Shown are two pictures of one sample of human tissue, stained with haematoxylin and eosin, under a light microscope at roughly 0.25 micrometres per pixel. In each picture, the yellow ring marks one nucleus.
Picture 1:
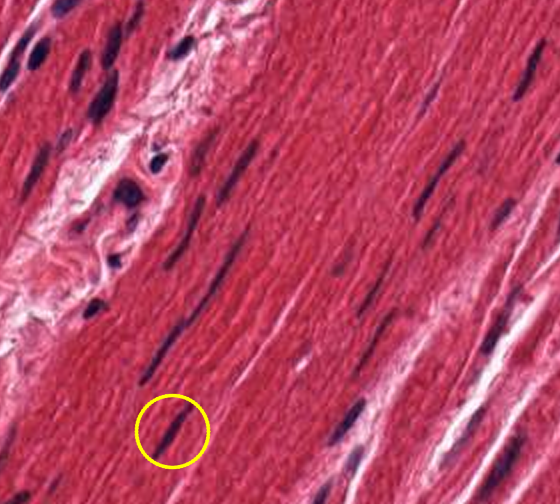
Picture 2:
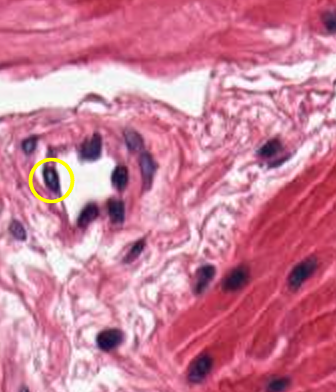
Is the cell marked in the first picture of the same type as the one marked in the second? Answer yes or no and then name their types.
No, the first is a smooth muscle cell and the second an endothelial cell.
